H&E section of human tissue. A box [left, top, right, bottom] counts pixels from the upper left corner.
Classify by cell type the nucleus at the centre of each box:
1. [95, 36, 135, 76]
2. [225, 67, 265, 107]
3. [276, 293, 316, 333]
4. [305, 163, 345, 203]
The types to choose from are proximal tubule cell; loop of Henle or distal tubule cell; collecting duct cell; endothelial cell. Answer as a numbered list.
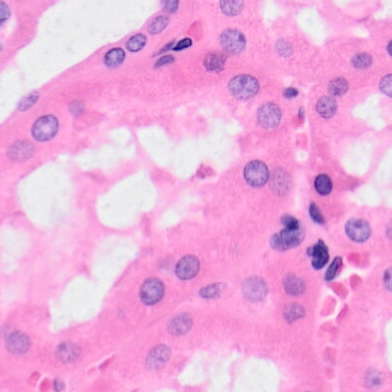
1. collecting duct cell
2. proximal tubule cell
3. proximal tubule cell
4. proximal tubule cell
